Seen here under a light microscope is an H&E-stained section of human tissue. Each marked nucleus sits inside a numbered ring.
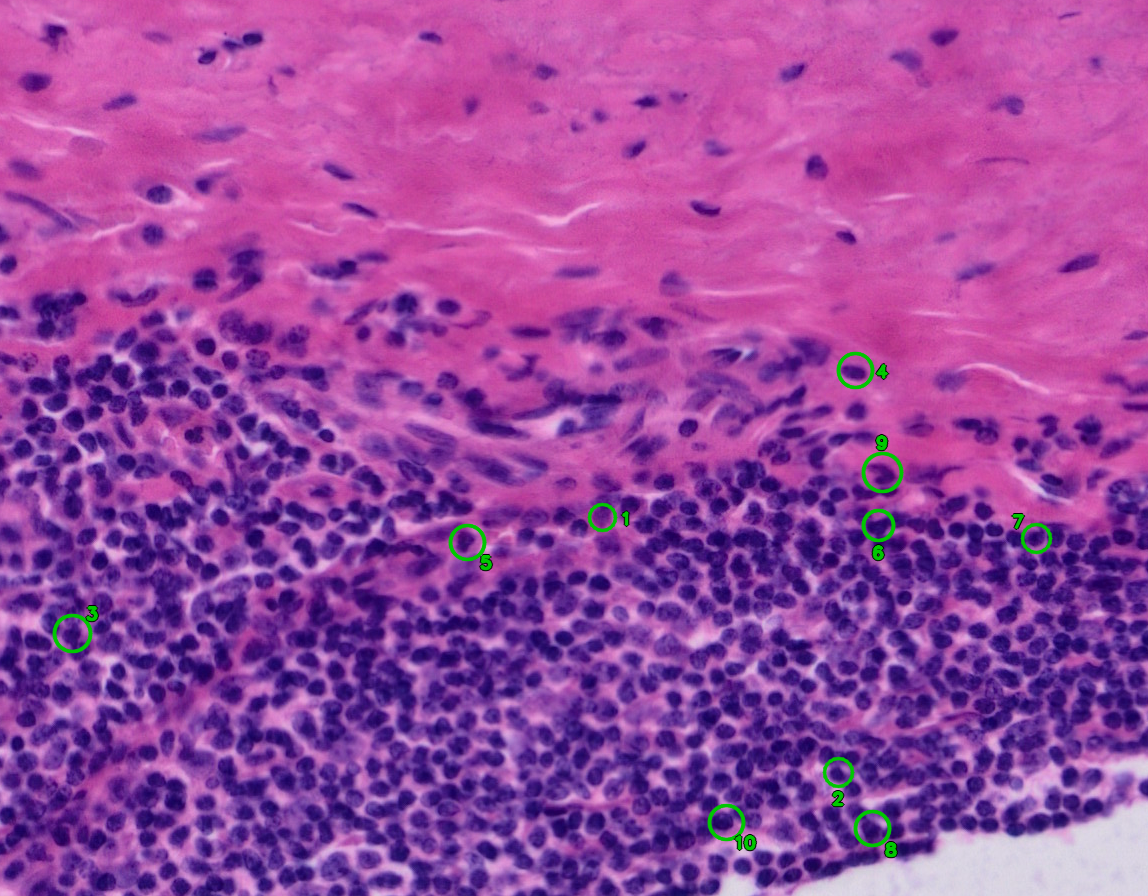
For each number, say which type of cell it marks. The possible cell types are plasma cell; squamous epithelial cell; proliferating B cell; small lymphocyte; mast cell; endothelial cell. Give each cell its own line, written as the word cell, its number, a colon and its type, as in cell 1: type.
cell 1: endothelial cell
cell 2: small lymphocyte
cell 3: small lymphocyte
cell 4: mast cell
cell 5: endothelial cell
cell 6: small lymphocyte
cell 7: small lymphocyte
cell 8: small lymphocyte
cell 9: endothelial cell
cell 10: small lymphocyte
